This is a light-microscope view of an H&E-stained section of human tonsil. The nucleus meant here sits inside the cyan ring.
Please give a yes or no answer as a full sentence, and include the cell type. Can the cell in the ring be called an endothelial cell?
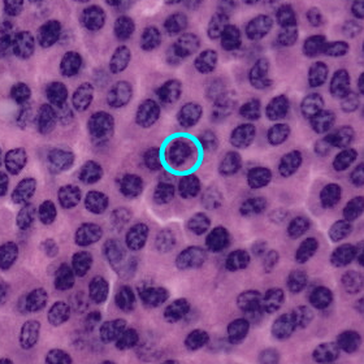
No, scored properly, the cell in the ring is a plasma cell rather than an endothelial cell.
